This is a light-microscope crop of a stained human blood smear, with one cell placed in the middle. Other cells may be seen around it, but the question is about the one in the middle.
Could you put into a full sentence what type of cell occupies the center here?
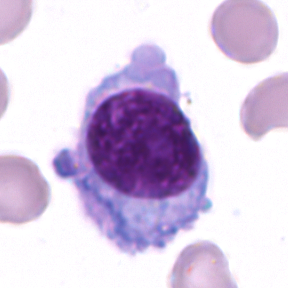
The central cell in this smear crop is a plasma cell.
